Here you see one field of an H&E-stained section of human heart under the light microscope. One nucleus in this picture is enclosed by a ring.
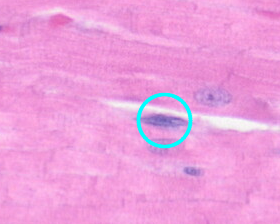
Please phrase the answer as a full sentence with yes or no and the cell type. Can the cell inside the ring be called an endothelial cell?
Yes, the cell inside the ring is, by its type, an endothelial cell.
